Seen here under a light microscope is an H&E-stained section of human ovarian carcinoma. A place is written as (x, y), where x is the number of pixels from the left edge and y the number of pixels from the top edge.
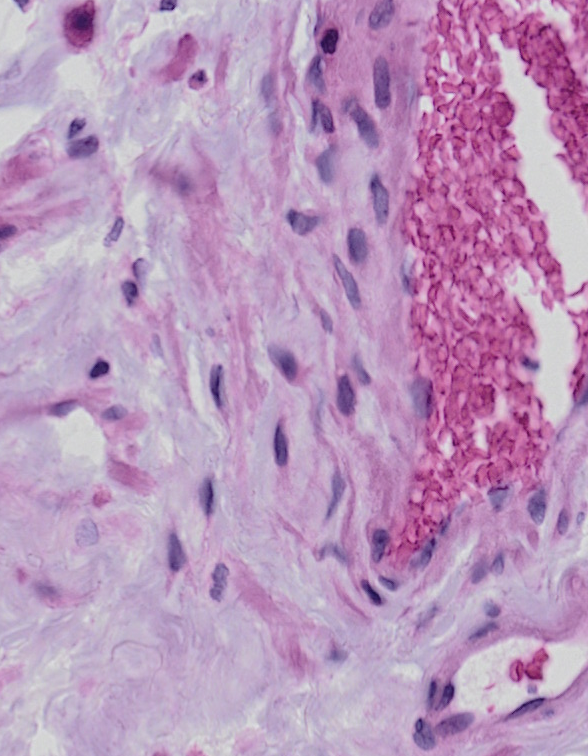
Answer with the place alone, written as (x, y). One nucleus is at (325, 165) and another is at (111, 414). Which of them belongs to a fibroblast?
(325, 165)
